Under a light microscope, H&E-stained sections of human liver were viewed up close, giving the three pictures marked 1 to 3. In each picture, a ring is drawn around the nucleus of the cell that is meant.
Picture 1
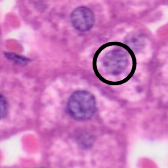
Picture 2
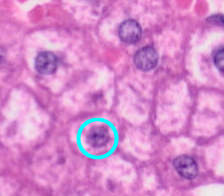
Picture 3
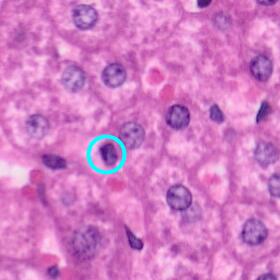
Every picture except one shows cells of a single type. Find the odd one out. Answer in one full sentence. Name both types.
The different one is picture 3; it shows a Kupffer cell, whereas all the others show hepatocytes.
